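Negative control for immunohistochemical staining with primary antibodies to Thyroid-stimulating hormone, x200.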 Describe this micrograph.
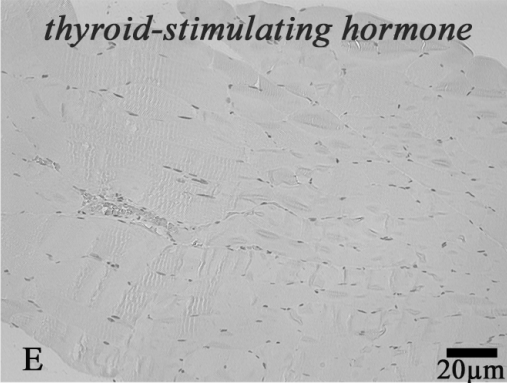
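Longitudinally cut skeletal muscle is shown, with long parallel fibres crossing the field. Fine cross-striations are visible across the fibres, and slender elongated nuclei lie along them, aligned with their long axis. A small group of cells lies between fibres on the left side. The whole section is pale grey, without any brown colour.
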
